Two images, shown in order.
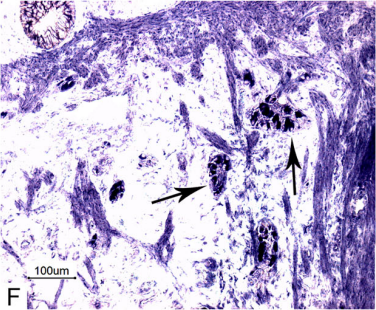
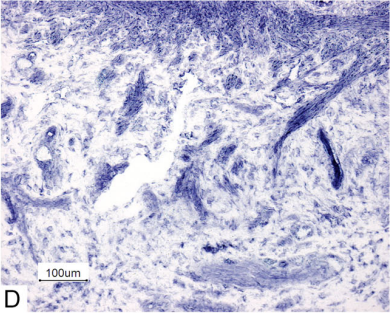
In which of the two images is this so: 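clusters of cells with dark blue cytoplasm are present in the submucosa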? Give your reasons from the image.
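First image: large clusters of intensely dark blue cells in the submucosa. So: the first image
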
